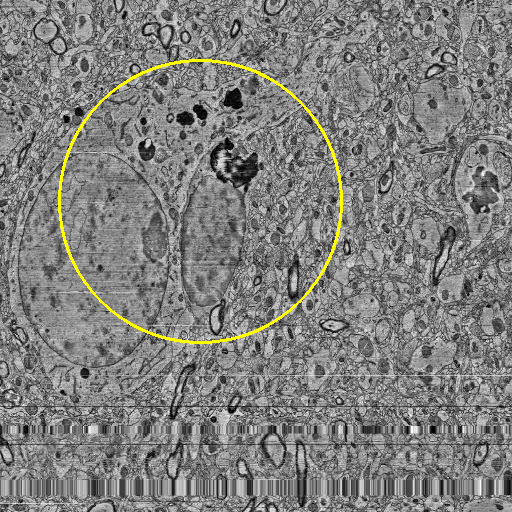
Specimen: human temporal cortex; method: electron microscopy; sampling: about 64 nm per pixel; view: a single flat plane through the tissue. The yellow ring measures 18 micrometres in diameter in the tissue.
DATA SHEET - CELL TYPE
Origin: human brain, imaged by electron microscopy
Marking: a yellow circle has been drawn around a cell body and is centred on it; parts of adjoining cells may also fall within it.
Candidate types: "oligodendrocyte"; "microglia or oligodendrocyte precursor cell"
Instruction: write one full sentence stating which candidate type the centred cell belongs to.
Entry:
The cell body at the centre of the yellow ring in this micrograph belongs to an oligodendrocyte.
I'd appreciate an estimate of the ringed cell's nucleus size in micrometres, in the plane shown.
At approximately 9 by 4 micrometres, the nucleus is clearly longer than it is wide in this plane.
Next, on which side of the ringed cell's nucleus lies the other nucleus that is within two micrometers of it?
The other nucleus is positioned to the left of it.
